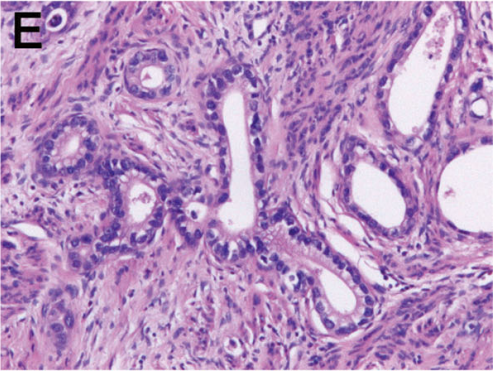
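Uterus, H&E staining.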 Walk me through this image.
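Glands of irregular shape, some dilated into small cysts, lie embedded in pink smooth muscle of the uterine wall. They are lined by a single layer of cuboidal to columnar cells with dark oval nuclei, surrounded by spindle-shaped muscle cells.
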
